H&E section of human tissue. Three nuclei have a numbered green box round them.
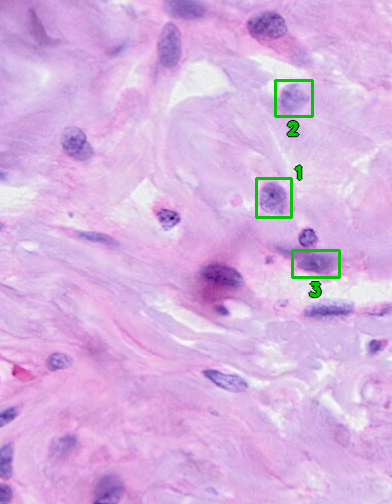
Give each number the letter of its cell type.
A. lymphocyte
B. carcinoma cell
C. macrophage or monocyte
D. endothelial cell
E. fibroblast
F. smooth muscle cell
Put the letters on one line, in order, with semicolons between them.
E; E; D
